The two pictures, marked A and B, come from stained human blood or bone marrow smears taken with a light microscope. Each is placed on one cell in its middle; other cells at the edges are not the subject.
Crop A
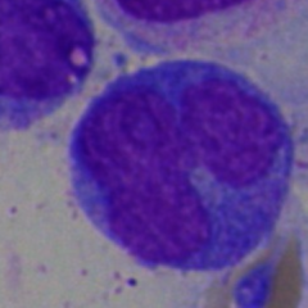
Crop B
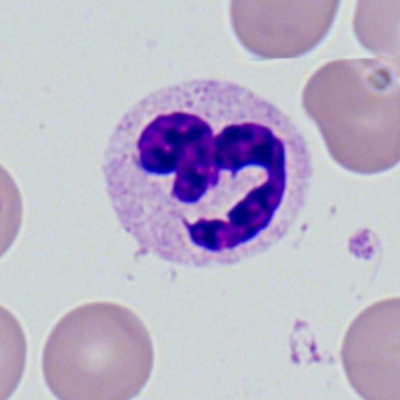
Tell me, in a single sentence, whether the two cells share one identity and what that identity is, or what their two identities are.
No, a monocyte is in crop A, while a neutrophil is in crop B.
